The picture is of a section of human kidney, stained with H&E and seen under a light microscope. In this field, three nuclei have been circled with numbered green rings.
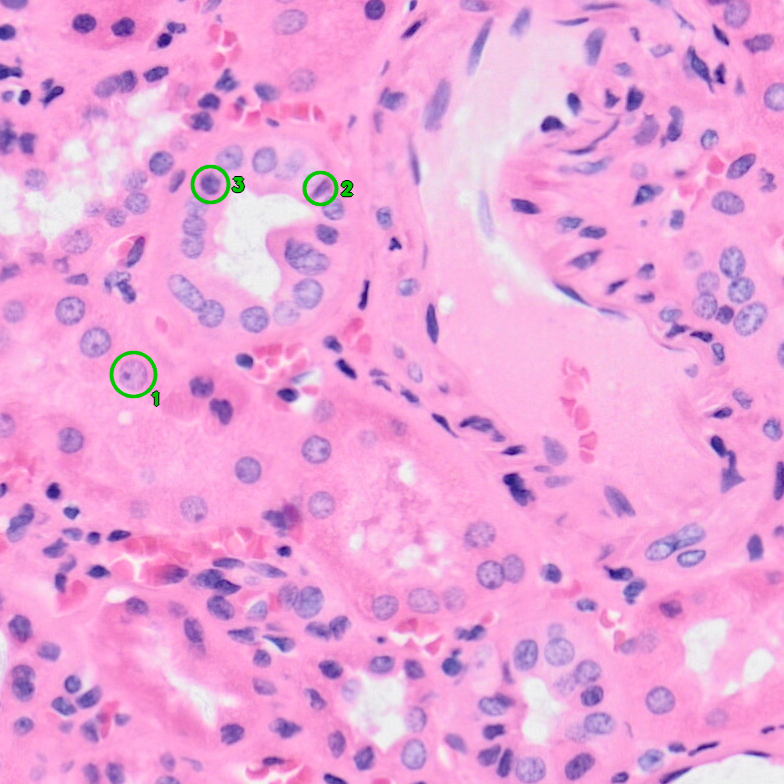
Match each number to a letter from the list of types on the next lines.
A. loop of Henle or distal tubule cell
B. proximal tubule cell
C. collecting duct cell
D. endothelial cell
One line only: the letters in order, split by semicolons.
B; C; C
